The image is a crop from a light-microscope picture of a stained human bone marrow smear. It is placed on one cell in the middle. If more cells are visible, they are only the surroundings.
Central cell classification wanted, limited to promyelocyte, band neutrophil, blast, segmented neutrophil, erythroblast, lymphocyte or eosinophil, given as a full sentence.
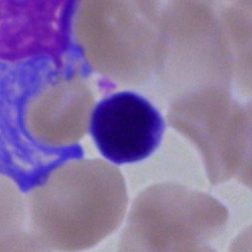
For this crop, the cell in the middle is a lymphocyte.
